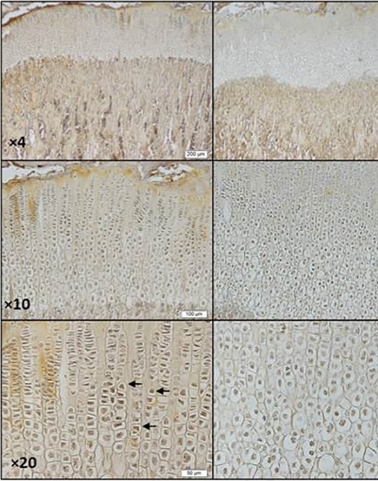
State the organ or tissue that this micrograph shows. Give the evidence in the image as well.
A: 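Pale cartilage matrix holds cells stacked in long vertical columns. At low power a cartilage band lies above a zone of bone trabeculae. That points to this answer: epiphyseal growth plate.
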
